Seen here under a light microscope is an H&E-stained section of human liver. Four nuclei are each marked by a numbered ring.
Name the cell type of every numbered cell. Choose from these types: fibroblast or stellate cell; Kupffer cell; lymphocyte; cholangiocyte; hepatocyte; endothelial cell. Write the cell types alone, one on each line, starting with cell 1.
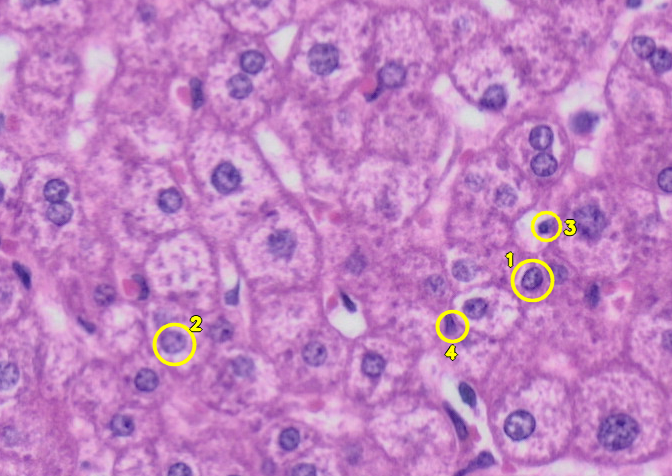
hepatocyte
hepatocyte
lymphocyte
fibroblast or stellate cell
